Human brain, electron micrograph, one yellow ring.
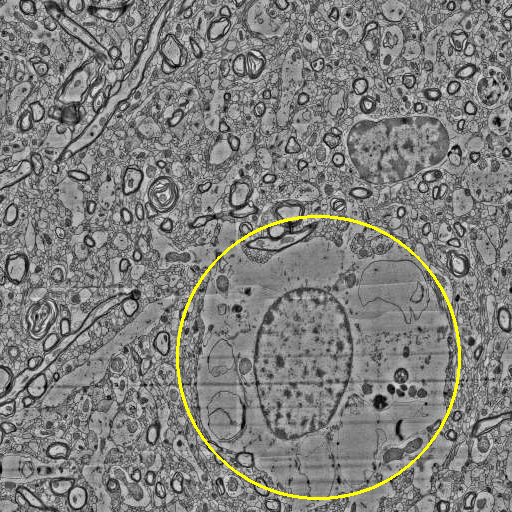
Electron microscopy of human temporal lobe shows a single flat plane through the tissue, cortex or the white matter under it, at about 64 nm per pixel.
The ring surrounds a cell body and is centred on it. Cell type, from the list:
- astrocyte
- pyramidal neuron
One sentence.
The yellow ring circles an astrocyte.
